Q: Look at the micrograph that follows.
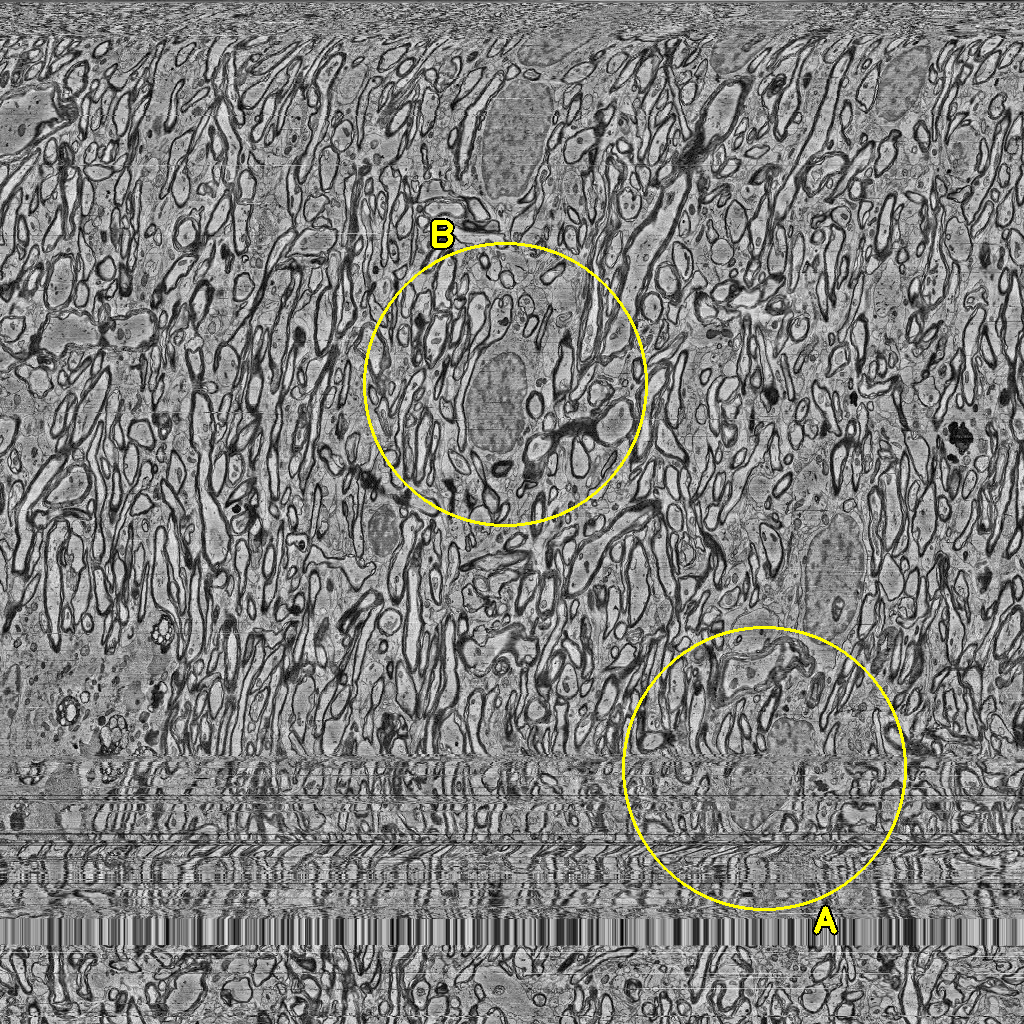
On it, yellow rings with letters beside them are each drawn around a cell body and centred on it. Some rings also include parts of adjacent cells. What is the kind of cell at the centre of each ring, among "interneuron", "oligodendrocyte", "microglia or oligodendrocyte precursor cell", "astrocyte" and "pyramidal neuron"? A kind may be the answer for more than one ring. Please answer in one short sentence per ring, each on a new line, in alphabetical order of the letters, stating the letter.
Ring A surrounds the cell body of a microglial cell or oligodendrocyte precursor cell.
Ring B surrounds the cell body of an oligodendrocyte.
